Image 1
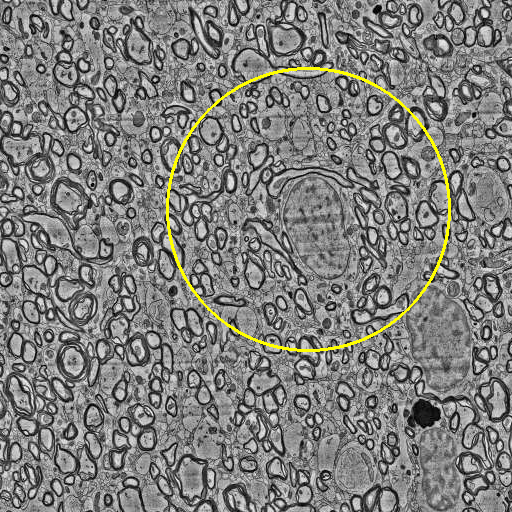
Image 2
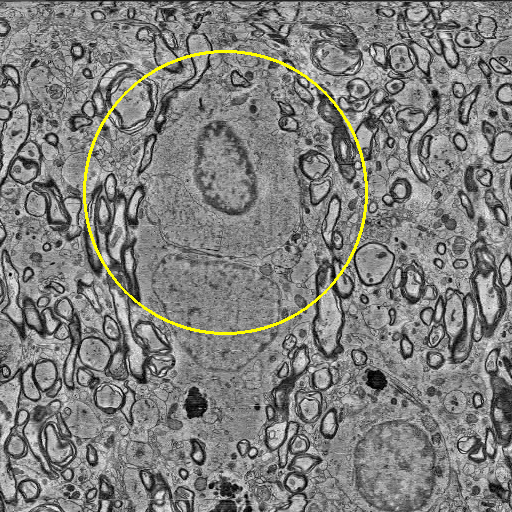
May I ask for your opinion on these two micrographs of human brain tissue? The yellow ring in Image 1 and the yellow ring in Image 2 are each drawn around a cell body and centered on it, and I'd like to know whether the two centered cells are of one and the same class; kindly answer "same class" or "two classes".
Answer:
same class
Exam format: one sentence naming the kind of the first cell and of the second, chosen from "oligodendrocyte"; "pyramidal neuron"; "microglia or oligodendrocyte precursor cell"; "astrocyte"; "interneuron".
The cell at the ring centre is a microglial cell or oligodendrocyte precursor cell in both pictures.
